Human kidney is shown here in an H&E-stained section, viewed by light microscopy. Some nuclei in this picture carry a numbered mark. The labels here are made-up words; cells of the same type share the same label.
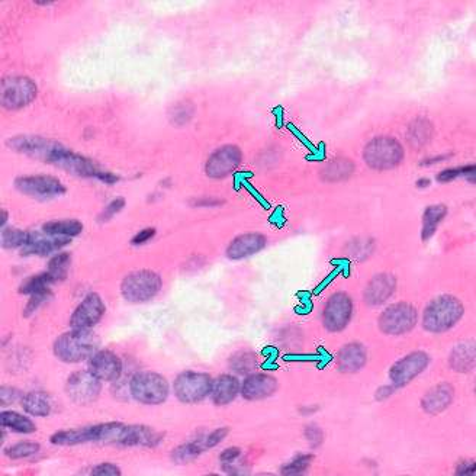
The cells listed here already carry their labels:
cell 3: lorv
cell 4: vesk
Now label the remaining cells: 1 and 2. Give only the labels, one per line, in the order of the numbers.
vesk
lorv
